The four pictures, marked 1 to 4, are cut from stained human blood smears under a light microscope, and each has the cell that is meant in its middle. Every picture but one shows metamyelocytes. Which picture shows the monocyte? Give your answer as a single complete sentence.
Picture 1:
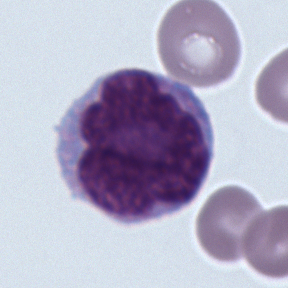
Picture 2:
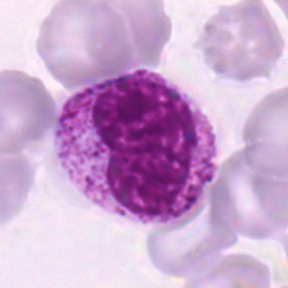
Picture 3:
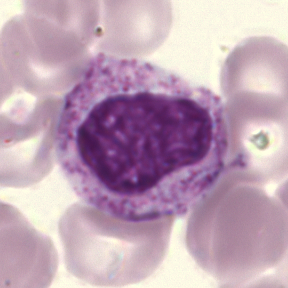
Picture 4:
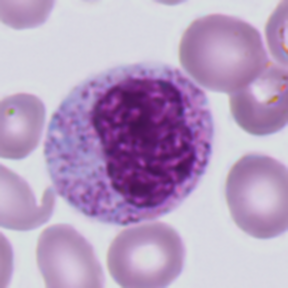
Picture 1 shows the monocyte.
